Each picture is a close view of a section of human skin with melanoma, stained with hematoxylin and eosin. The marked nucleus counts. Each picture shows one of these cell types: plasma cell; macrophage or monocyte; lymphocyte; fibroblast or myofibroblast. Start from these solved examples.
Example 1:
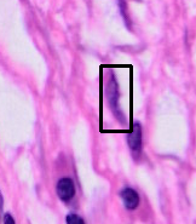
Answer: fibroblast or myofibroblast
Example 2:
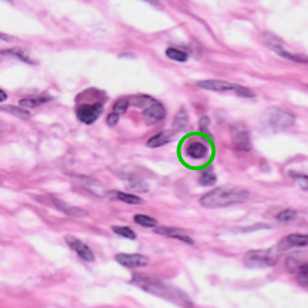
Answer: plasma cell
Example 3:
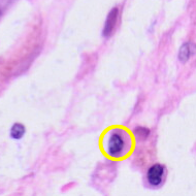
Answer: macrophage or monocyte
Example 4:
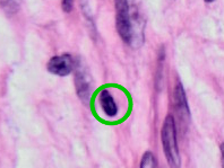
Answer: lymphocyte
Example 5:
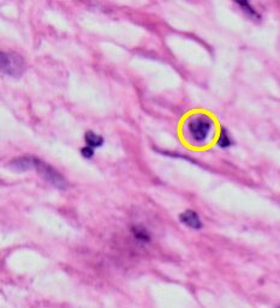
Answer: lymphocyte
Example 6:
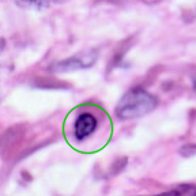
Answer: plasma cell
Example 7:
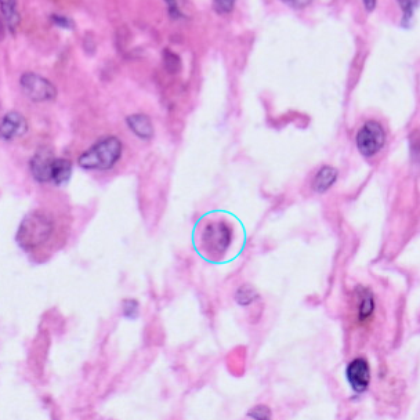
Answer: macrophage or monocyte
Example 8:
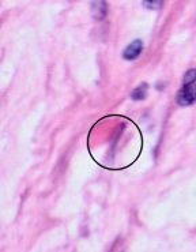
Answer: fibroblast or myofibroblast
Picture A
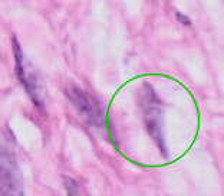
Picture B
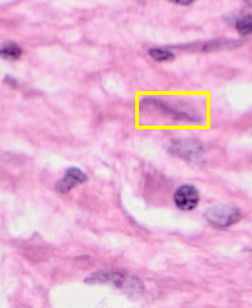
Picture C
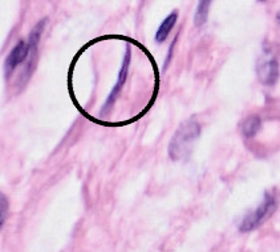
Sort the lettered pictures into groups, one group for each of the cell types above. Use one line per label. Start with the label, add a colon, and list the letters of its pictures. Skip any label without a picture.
fibroblast or myofibroblast: A, B, C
